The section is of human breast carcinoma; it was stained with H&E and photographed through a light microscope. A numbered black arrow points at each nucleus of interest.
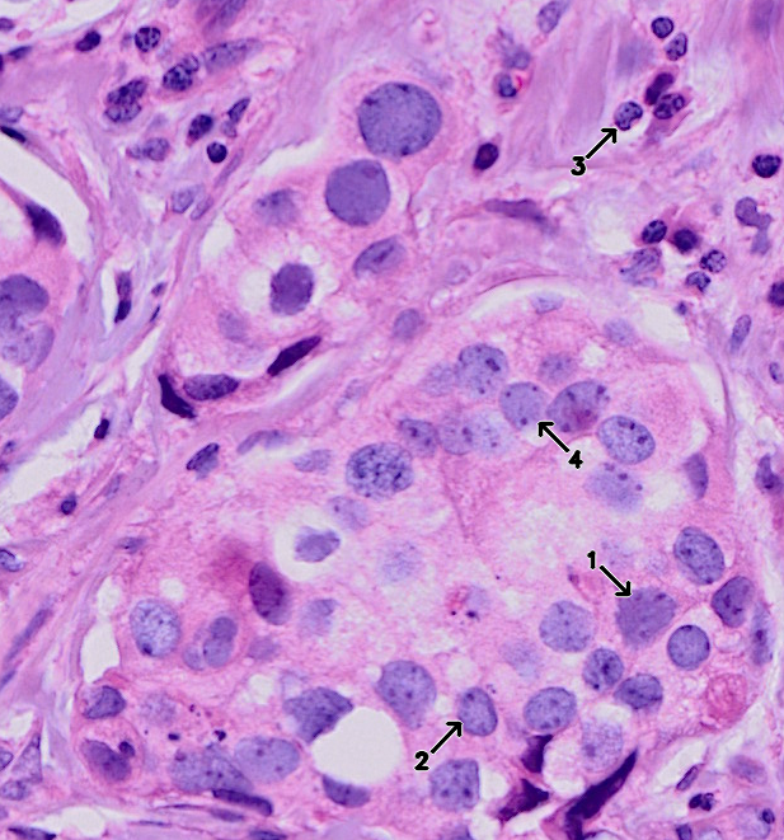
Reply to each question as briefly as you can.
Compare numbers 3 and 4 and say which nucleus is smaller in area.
3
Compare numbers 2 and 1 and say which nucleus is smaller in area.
2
